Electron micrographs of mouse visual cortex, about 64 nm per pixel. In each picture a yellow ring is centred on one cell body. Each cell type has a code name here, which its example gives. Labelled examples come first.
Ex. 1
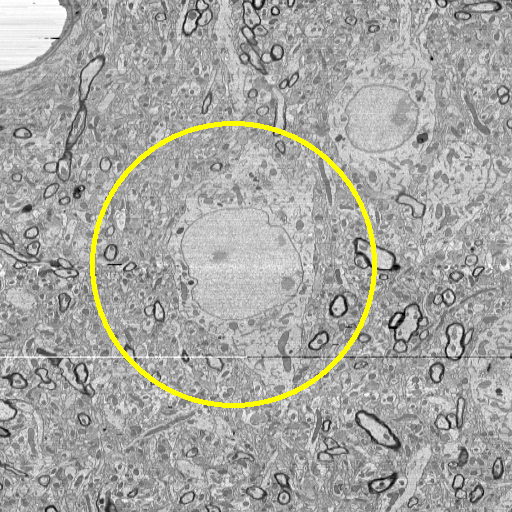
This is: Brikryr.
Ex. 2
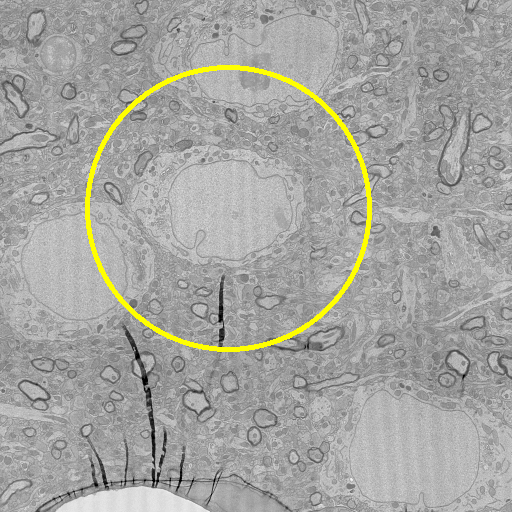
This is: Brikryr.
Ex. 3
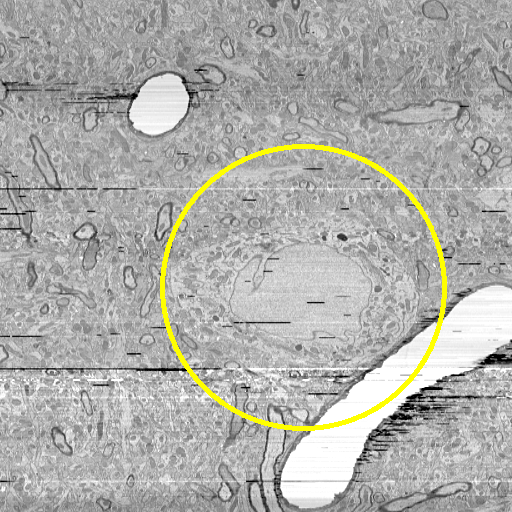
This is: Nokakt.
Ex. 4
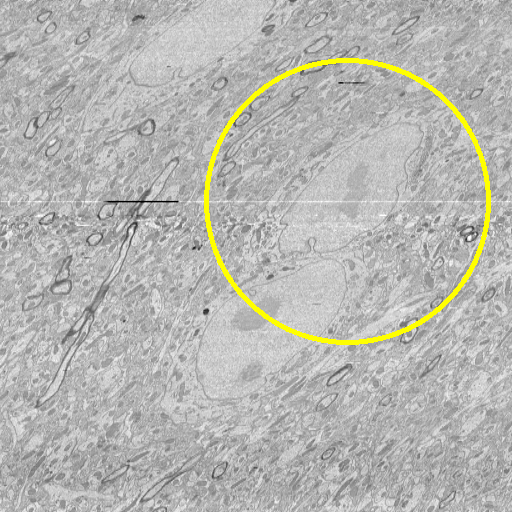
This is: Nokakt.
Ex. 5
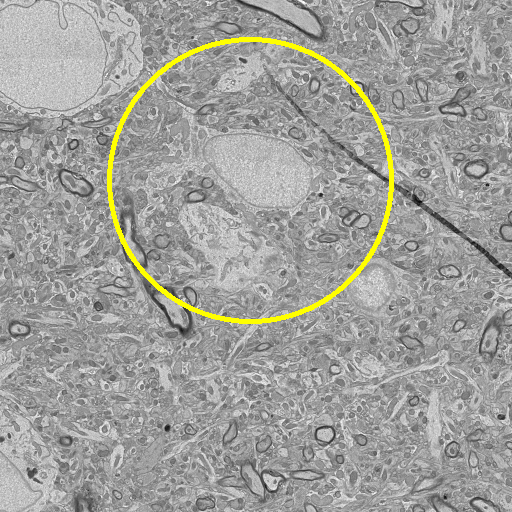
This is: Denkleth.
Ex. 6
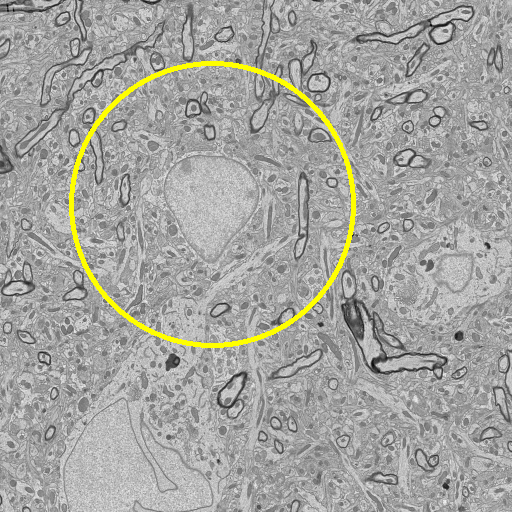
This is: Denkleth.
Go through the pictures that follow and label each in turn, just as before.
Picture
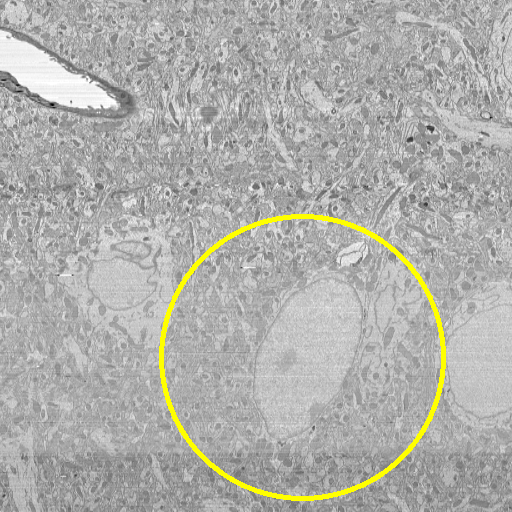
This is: Denkleth.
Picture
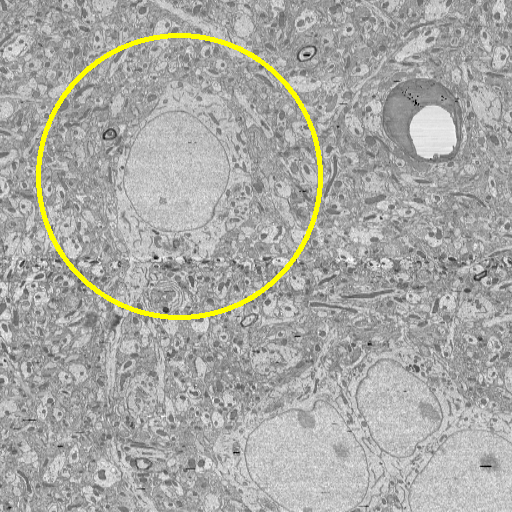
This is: Brikryr.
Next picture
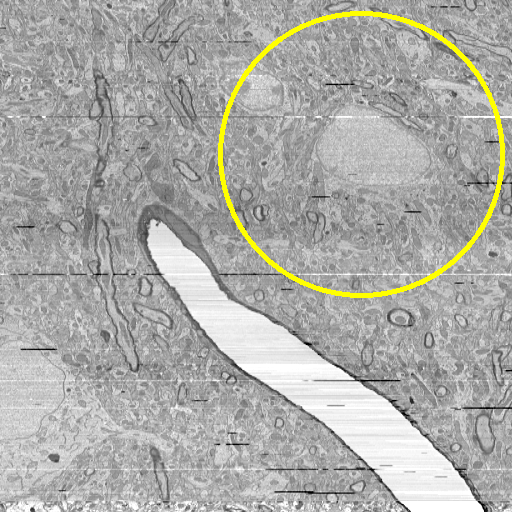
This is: Denkleth.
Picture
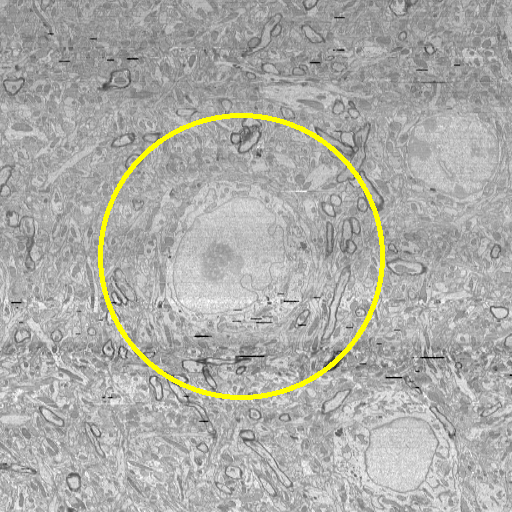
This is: Nokakt.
